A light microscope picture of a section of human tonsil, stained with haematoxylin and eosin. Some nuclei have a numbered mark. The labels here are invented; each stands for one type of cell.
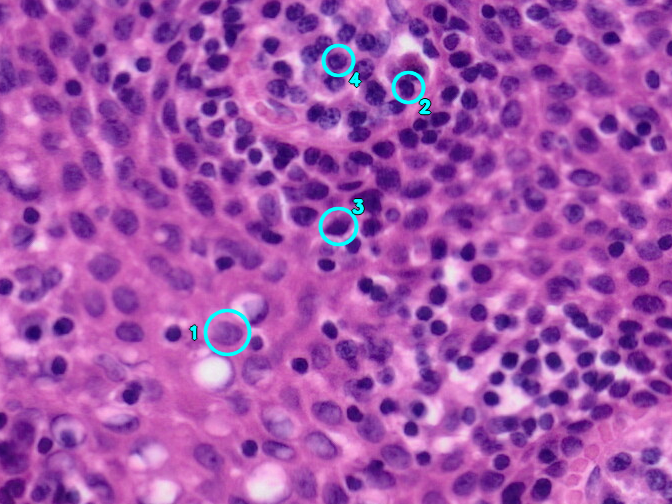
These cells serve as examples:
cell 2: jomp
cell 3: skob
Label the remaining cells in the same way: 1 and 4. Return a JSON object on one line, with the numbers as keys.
{"1": "skob", "4": "jomp"}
